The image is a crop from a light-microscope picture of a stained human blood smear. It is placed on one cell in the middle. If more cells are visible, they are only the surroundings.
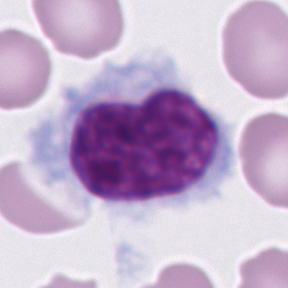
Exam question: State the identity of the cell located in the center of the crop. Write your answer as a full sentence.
Looking at the middle of the crop, the cell there is a hairy cell.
